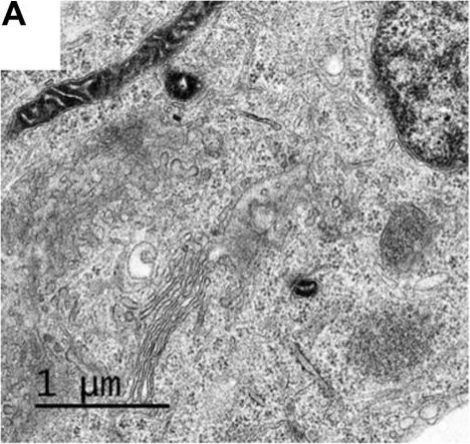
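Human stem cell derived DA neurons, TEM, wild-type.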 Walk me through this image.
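Stacks of flattened, parallel membrane cisternae lie near the centre, with small vesicles around them. Scattered mitochondria and dark, dense small bodies sit in a finely granular cytoplasm, and the edge of a nucleus with granular chromatin is seen at the upper right.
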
